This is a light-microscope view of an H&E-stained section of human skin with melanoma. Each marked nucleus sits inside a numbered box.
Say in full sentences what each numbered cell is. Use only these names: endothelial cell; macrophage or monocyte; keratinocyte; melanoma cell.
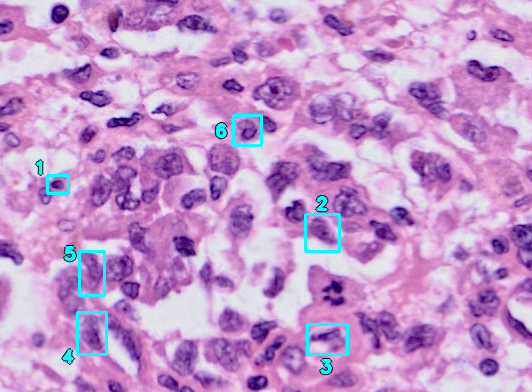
Cell 1 is a macrophage or monocyte, cell 2 is a melanoma cell, cell 3 is an endothelial cell, cell 4 is a melanoma cell, cell 5 is a melanoma cell and cell 6 is a macrophage or monocyte.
